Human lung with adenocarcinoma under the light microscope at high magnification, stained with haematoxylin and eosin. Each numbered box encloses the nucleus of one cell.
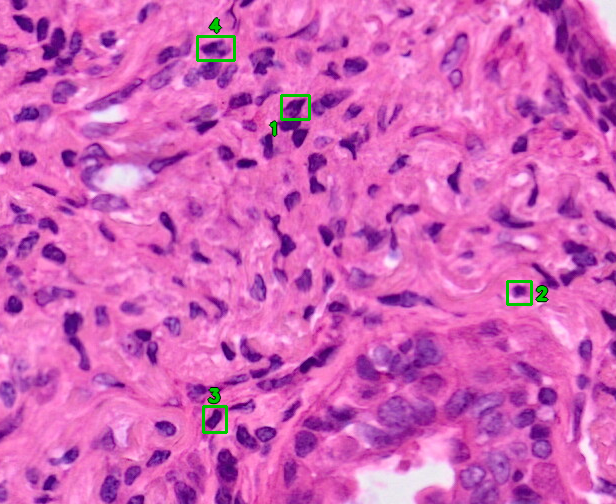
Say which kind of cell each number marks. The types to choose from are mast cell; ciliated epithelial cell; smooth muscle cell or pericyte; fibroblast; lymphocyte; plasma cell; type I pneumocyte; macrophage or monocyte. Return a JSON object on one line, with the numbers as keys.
{"1": "plasma cell", "2": "lymphocyte", "3": "plasma cell", "4": "lymphocyte"}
